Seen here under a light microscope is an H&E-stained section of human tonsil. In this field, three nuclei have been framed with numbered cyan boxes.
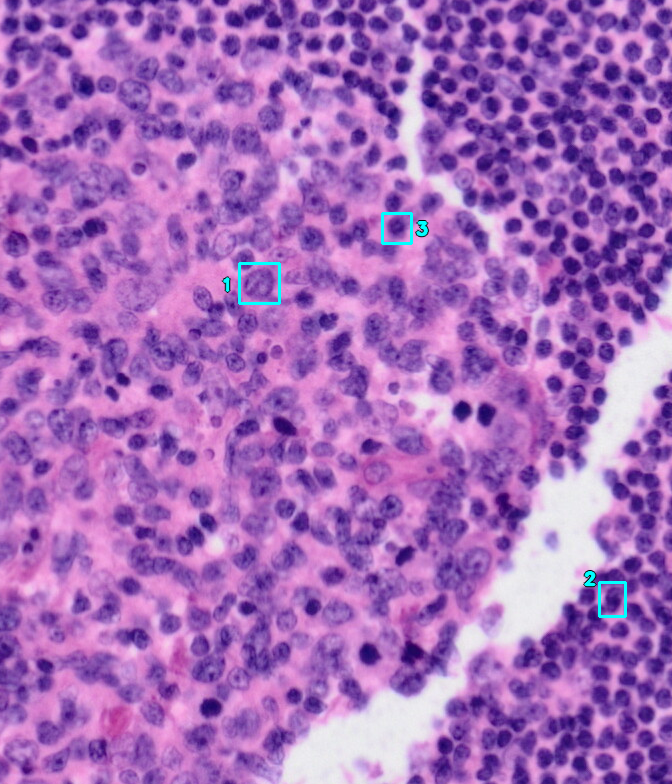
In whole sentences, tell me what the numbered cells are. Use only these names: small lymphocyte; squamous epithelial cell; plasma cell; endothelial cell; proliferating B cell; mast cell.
Cell 1 is a proliferating B cell, cell 2 is a small lymphocyte and cell 3 is a proliferating B cell.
